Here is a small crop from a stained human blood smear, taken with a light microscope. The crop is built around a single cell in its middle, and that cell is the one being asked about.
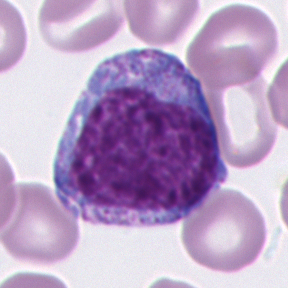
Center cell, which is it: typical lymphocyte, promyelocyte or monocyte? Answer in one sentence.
The cell at the central position in this crop is a promyelocyte.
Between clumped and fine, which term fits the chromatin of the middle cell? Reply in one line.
Chromatin in the nucleus here is coarsely clumped.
